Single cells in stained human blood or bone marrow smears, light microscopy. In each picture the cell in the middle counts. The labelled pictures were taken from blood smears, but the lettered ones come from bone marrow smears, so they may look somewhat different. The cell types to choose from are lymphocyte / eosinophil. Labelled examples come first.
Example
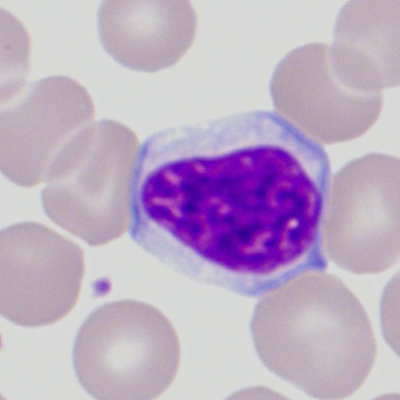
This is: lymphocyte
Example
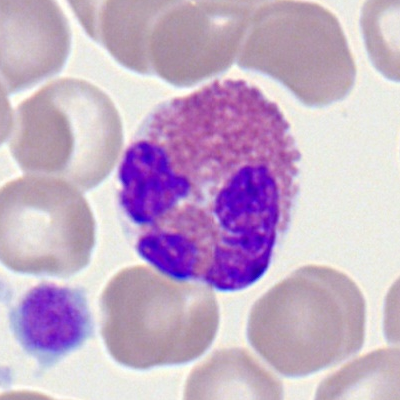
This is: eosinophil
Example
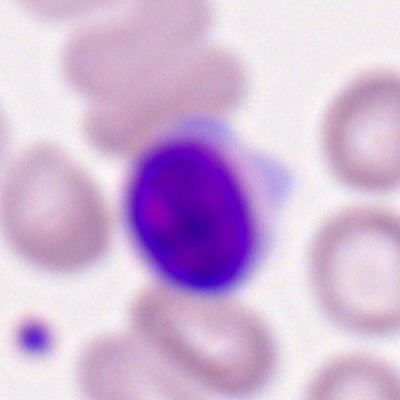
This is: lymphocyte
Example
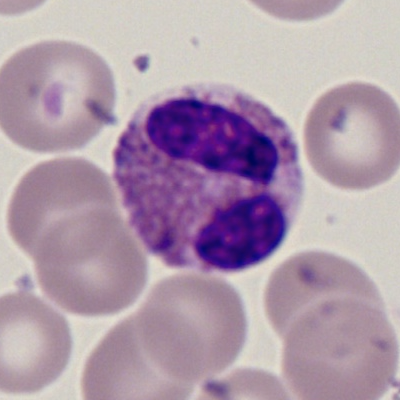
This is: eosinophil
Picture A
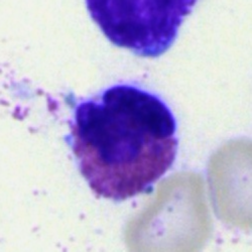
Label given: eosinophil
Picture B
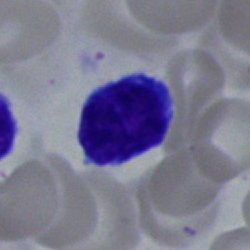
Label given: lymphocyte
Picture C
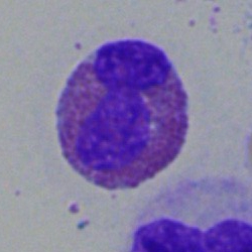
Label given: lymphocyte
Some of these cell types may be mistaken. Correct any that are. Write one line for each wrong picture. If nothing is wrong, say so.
C: eosinophil, not lymphocyte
